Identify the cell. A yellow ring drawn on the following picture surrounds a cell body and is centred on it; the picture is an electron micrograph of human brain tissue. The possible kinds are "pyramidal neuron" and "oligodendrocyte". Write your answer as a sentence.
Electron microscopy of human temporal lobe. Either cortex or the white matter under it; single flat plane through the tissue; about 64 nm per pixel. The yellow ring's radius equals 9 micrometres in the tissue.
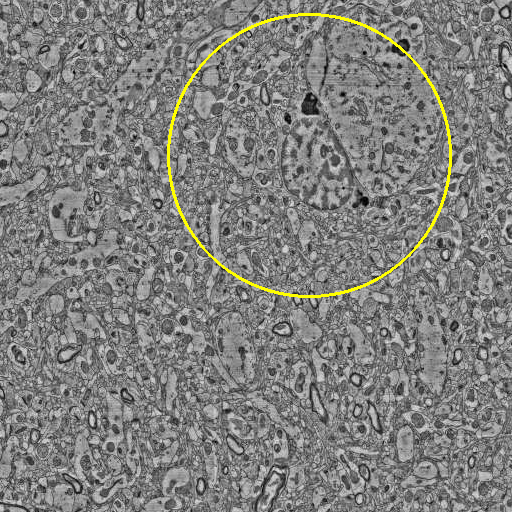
The cell identified by the ring is an oligodendrocyte.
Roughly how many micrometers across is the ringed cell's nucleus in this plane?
The nucleus appears roughly 6 by 4 micrometres in this plane.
